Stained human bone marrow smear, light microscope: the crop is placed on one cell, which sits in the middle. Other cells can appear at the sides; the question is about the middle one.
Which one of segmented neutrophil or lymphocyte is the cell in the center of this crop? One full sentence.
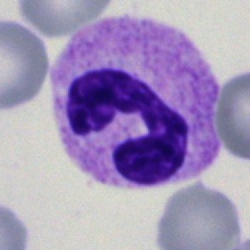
Of the cells in this crop, the central one is a segmented neutrophil.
